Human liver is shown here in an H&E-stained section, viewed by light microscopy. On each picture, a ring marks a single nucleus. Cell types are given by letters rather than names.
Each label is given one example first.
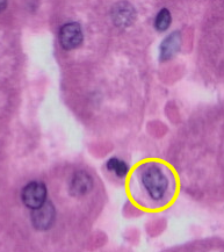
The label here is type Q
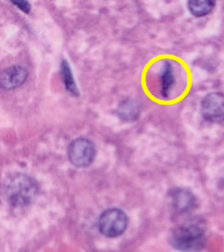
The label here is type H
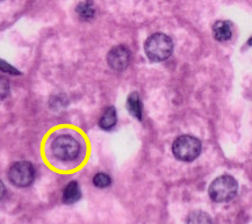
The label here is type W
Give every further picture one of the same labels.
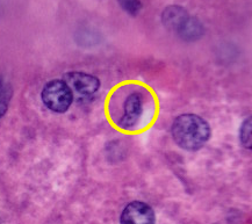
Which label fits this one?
type Q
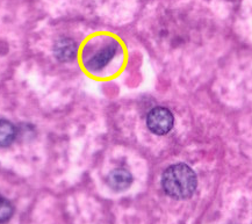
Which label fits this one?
type Q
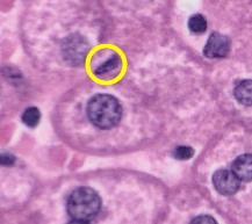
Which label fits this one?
type H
